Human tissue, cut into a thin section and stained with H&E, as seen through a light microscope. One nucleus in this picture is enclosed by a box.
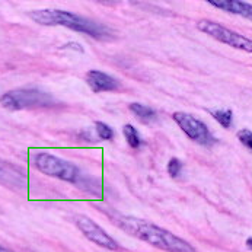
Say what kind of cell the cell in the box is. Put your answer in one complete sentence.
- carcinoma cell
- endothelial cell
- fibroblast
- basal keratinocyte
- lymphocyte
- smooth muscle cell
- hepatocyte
In this tissue section, the cell in the box is to be classed as a smooth muscle cell.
